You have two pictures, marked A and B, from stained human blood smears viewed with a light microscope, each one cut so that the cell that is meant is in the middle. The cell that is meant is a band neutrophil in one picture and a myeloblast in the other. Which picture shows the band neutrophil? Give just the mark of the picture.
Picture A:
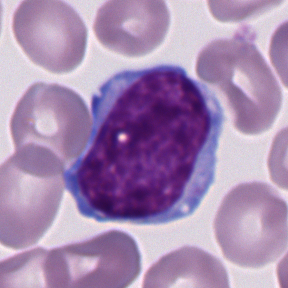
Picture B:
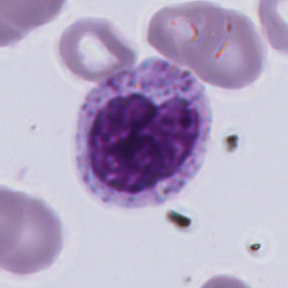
B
